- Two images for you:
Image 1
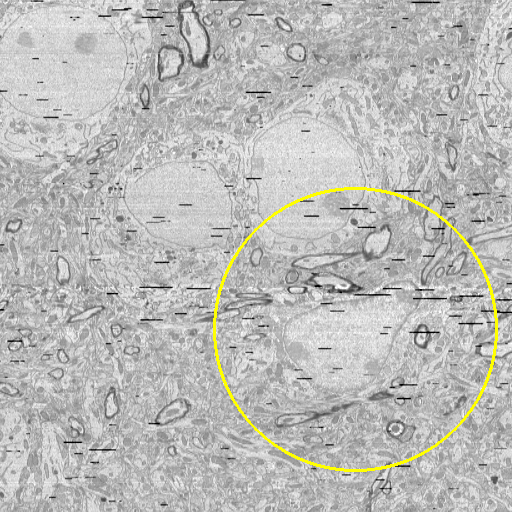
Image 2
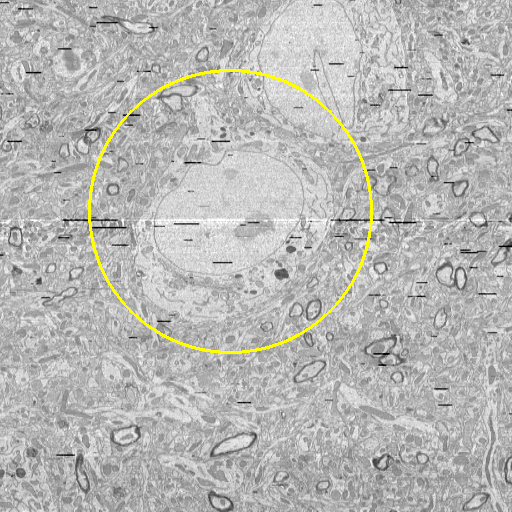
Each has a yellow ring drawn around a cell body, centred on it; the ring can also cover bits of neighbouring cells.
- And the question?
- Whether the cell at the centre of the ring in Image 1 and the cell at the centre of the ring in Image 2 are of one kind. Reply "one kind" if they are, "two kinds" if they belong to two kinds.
two kinds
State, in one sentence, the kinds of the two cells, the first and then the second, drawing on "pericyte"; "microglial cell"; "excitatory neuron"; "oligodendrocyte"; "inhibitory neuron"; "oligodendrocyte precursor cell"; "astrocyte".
The ring in the second picture is centred on an excitatory neuron, the ring in the first on an astrocyte.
